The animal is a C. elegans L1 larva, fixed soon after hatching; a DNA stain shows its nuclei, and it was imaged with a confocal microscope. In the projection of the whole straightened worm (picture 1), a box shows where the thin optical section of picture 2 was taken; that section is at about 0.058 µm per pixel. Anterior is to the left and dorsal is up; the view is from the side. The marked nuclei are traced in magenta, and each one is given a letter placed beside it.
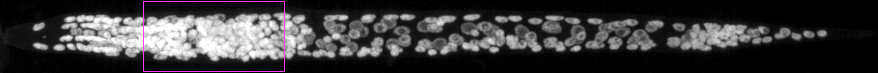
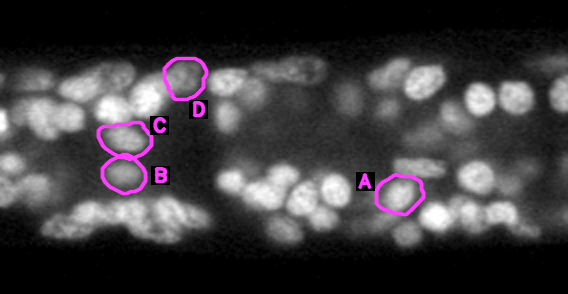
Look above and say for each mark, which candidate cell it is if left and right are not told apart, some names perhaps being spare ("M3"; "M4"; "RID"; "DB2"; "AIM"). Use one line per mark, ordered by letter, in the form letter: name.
A: AIM
B: M3
C: M4
D: RID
